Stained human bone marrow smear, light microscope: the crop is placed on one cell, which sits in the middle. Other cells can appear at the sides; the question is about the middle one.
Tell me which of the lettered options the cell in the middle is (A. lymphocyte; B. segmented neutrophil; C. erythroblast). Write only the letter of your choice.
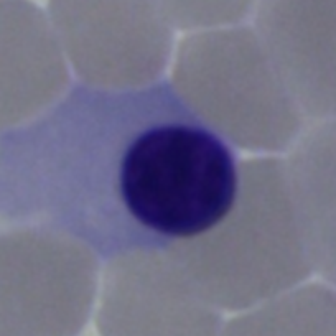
C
